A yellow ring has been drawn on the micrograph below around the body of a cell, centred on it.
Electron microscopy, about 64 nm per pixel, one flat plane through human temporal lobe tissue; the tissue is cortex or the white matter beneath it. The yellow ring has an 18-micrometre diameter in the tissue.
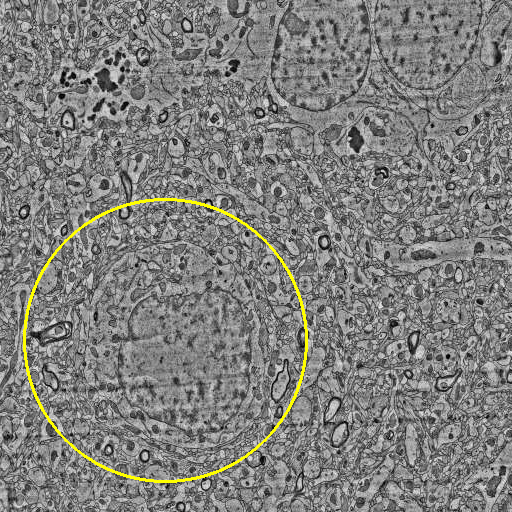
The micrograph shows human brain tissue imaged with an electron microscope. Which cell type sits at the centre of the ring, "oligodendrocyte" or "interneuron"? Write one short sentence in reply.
The cell sitting at the centre of the ring is an interneuron.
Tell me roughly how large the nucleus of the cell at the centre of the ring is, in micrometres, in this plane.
The ringed cell's nucleus is about 10 micrometres across in this plane.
